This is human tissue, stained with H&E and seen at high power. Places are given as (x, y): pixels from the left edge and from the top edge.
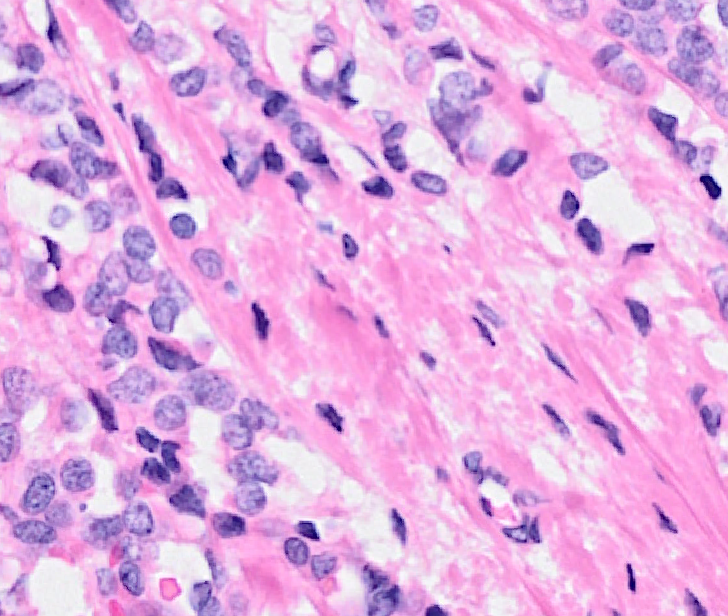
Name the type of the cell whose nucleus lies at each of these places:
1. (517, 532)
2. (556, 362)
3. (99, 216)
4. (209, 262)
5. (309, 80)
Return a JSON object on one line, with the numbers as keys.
{"1": "endothelial cell", "2": "fibroblast", "3": "carcinoma cell", "4": "carcinoma cell", "5": "endothelial cell"}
